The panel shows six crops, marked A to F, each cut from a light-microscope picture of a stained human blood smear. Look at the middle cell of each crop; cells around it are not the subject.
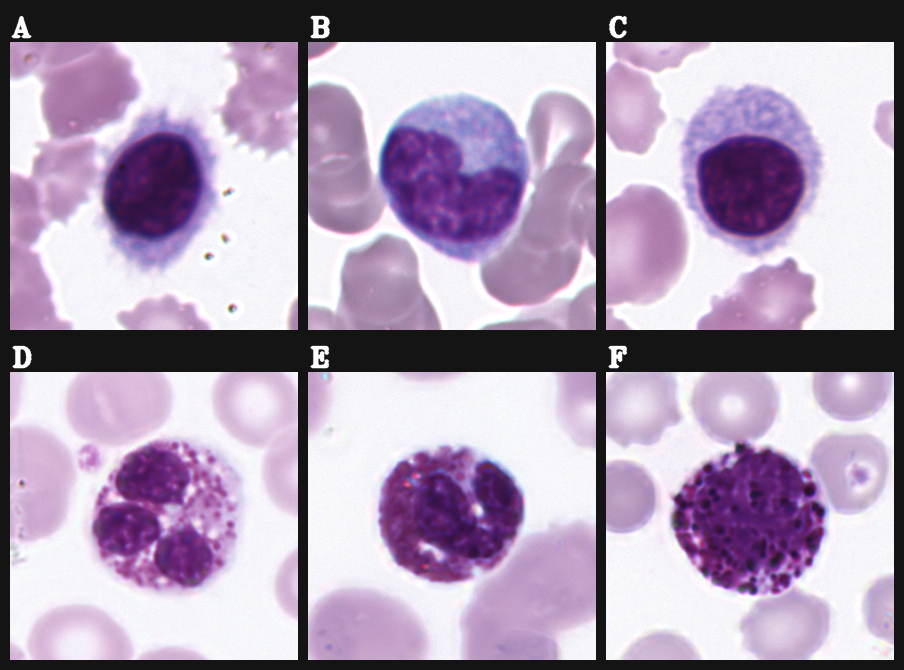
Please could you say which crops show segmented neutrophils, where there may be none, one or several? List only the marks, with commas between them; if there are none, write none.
none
